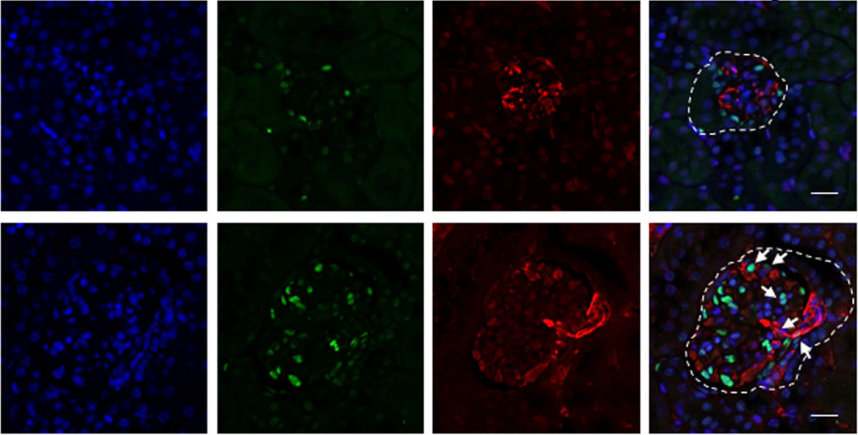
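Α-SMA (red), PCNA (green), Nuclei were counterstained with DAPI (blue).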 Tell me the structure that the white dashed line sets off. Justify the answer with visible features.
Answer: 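Kidney glomeruli. The dashed line encloses a rounded, compact tuft of densely packed nuclei. The outlined structure is surrounded by cross-sectioned tubules with regularly spaced nuclei.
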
